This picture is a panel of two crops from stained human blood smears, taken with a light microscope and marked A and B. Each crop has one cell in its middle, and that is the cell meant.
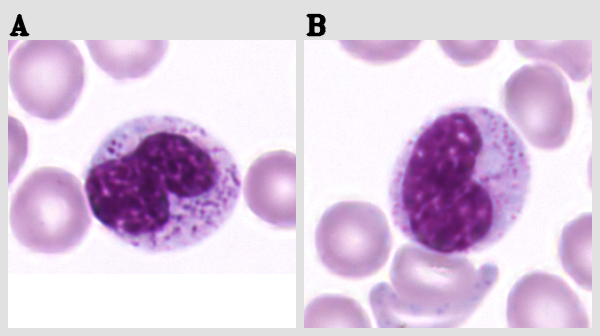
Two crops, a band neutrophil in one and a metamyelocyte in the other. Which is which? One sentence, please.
So, crop A is a band neutrophil, and crop B is a metamyelocyte.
